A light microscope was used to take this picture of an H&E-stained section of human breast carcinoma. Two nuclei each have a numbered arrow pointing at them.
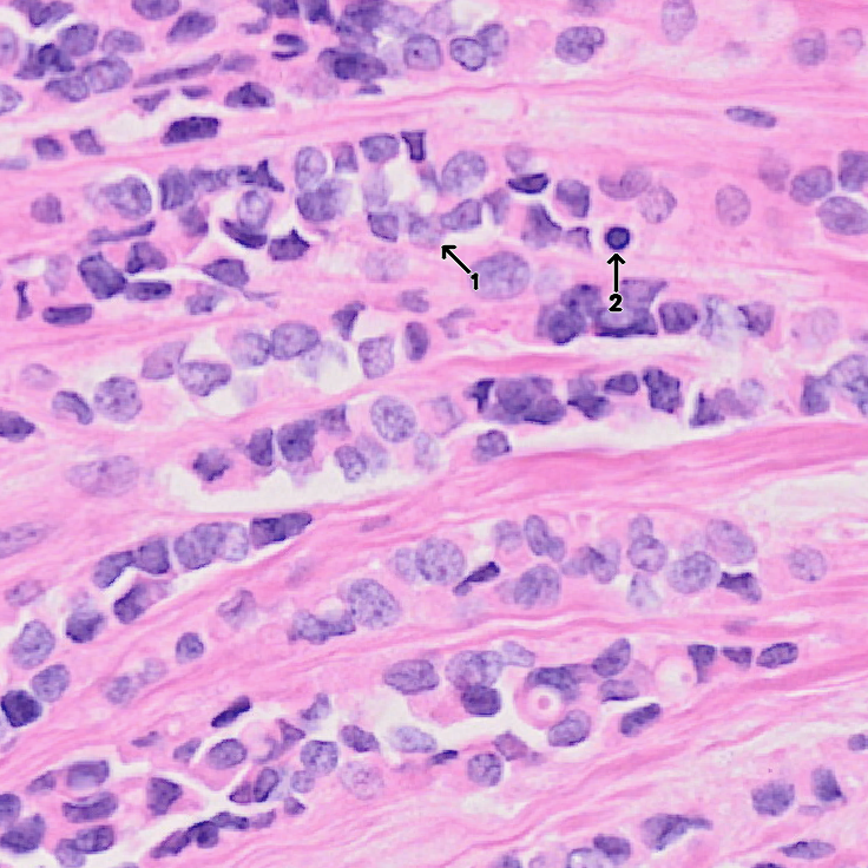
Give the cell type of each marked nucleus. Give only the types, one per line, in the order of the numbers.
carcinoma cell
lymphocyte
